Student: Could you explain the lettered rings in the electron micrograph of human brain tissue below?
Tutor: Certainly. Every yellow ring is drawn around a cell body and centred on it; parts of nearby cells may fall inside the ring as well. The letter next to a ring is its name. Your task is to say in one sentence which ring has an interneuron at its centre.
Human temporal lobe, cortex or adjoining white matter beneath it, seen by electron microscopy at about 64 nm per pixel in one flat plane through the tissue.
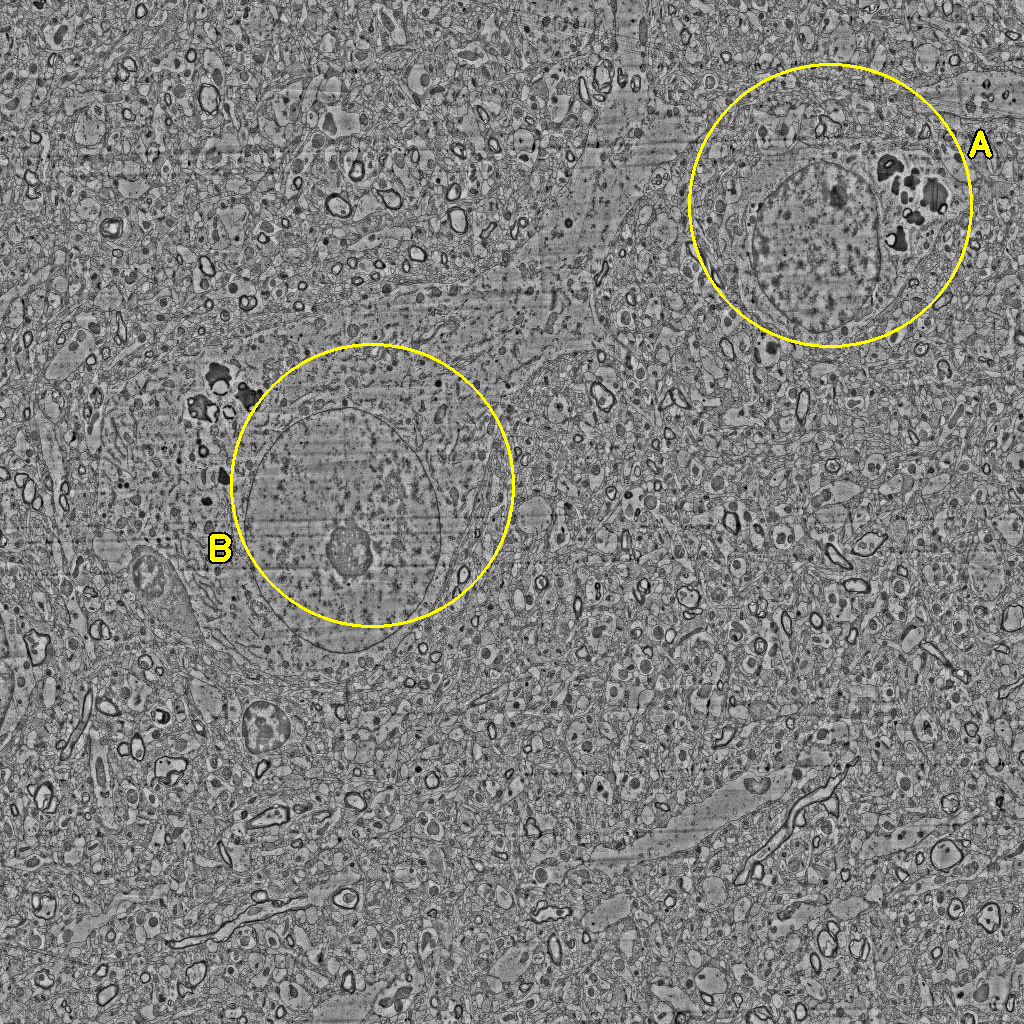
The cell at the centre of ring A is the one.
